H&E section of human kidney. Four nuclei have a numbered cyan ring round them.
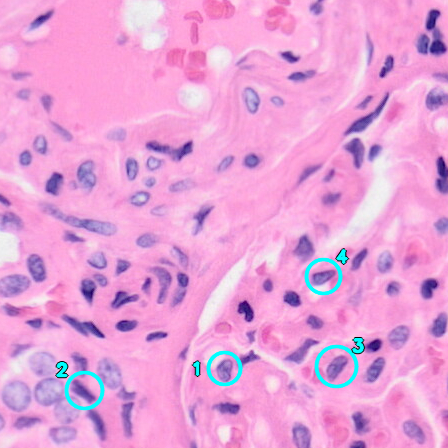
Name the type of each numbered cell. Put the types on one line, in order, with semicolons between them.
endothelial cell; collecting duct cell; endothelial cell; endothelial cell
